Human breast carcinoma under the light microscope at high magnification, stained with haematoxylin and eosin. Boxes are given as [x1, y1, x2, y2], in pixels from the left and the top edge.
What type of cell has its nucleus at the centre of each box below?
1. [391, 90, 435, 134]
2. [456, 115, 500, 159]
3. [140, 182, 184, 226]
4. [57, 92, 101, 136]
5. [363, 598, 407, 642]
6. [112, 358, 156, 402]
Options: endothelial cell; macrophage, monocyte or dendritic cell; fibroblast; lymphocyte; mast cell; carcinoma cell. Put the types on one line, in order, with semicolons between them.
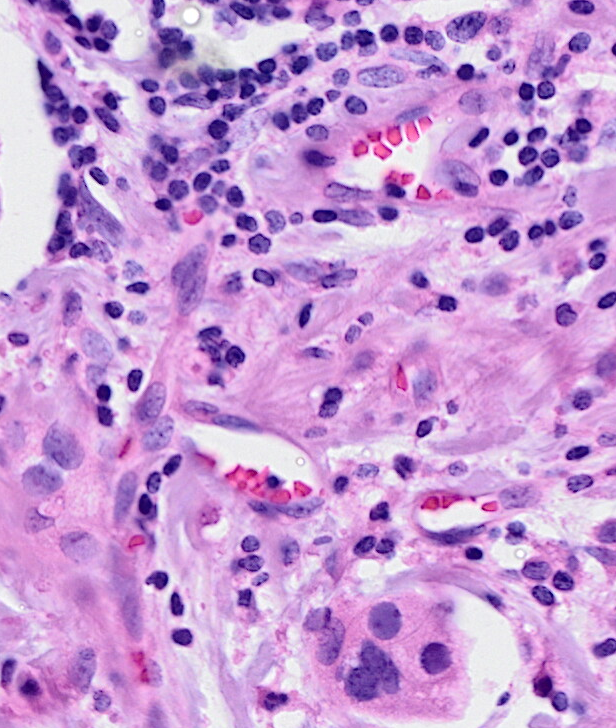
endothelial cell; lymphocyte; lymphocyte; lymphocyte; carcinoma cell; lymphocyte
